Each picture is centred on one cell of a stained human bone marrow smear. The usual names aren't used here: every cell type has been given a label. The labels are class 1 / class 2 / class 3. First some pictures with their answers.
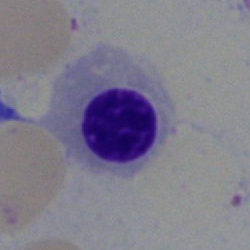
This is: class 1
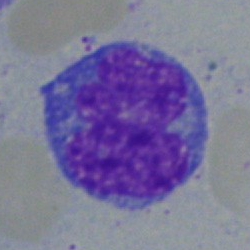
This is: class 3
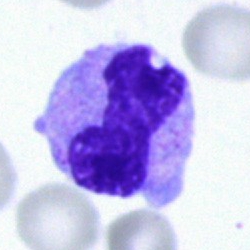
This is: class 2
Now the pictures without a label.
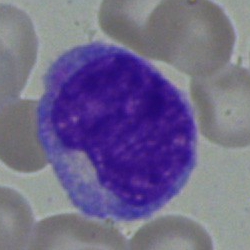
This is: class 3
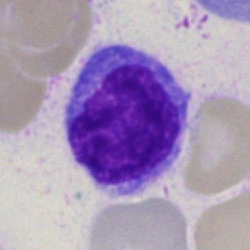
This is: class 3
